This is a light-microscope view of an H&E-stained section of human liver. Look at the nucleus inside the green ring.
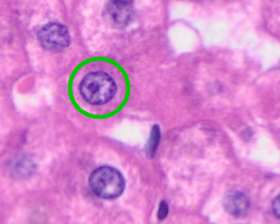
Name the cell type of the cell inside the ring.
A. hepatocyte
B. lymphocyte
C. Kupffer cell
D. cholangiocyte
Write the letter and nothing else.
A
